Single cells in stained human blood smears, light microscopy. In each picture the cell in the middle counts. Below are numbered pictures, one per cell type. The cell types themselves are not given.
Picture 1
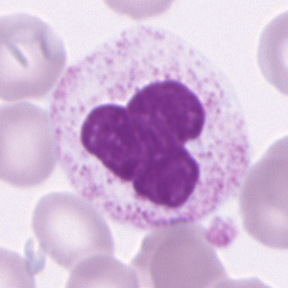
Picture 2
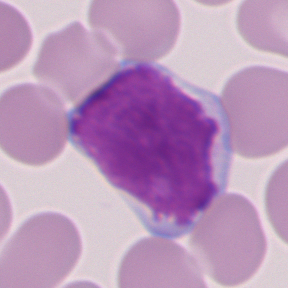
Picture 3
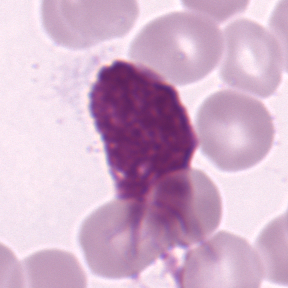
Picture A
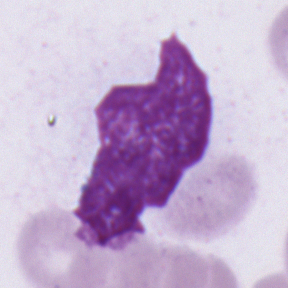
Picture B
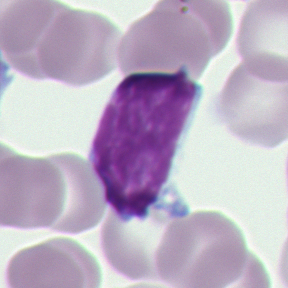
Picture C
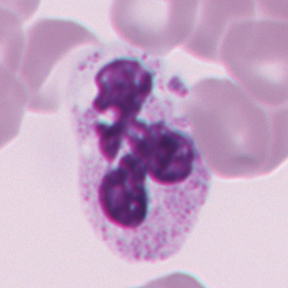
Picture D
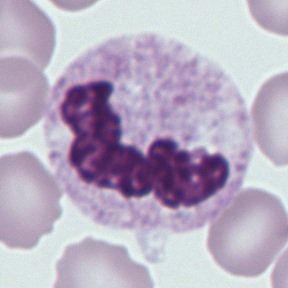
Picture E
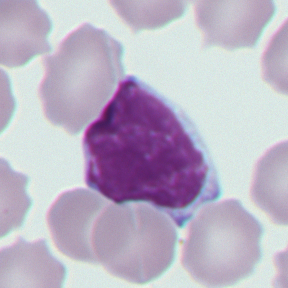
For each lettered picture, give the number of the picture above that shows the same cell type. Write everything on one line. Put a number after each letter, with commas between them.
A 3, B 2, C 1, D 1, E 2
